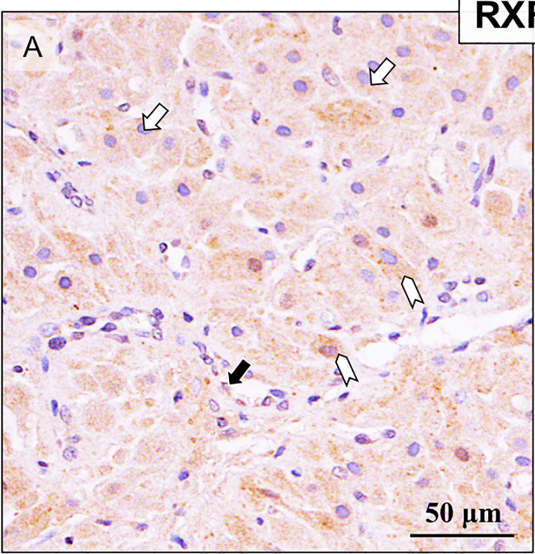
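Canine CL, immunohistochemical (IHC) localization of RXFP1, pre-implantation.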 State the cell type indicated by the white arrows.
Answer: Luteal cells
